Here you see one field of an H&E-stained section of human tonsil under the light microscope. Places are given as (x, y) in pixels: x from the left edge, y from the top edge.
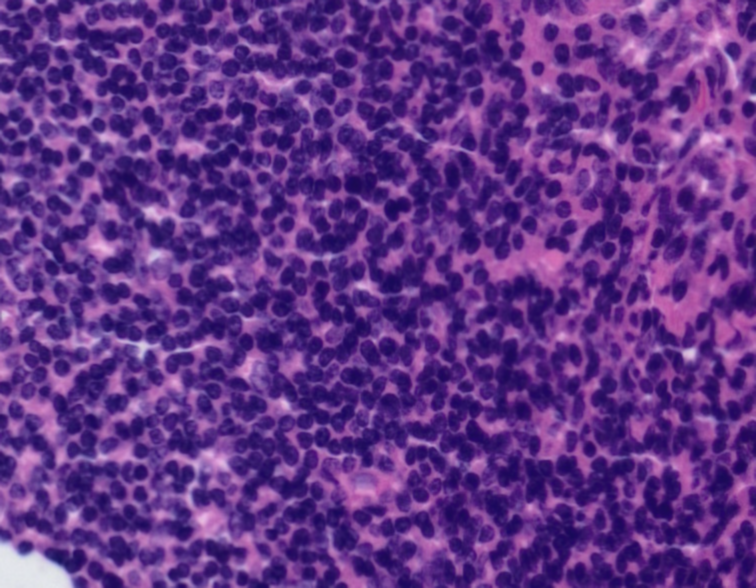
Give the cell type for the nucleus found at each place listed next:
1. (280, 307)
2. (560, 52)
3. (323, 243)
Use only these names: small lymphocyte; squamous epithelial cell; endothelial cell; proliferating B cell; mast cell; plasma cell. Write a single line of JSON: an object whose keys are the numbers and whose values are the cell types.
{"1": "small lymphocyte", "2": "plasma cell", "3": "small lymphocyte"}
